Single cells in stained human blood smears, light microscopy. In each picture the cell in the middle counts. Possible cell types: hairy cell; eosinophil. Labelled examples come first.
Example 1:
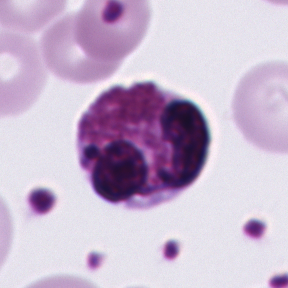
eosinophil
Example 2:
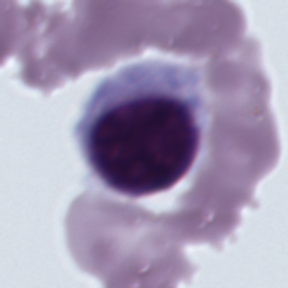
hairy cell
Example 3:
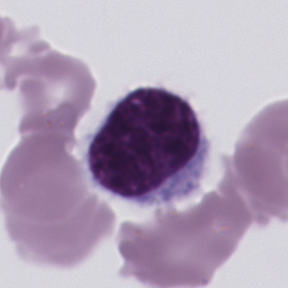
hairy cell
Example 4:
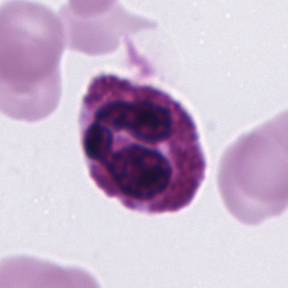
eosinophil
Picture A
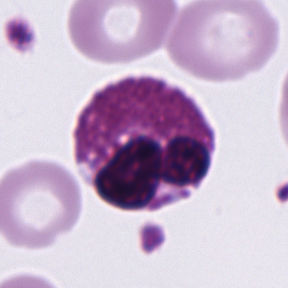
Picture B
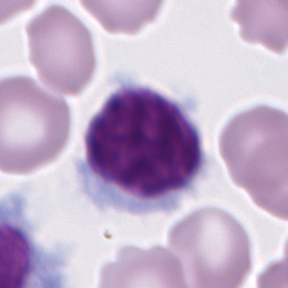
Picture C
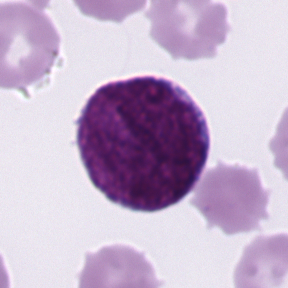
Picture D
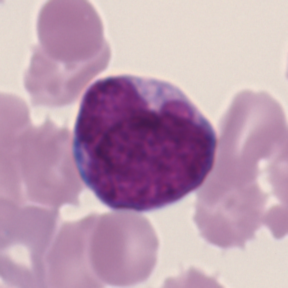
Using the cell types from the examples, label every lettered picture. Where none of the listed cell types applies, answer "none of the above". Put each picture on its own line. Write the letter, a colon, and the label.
A: eosinophil
B: hairy cell
C: none of the above
D: none of the above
